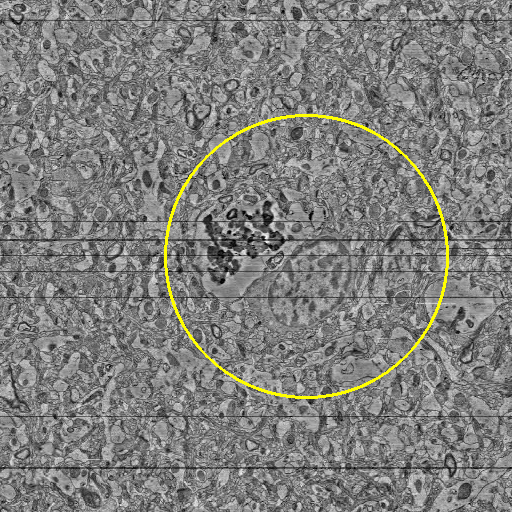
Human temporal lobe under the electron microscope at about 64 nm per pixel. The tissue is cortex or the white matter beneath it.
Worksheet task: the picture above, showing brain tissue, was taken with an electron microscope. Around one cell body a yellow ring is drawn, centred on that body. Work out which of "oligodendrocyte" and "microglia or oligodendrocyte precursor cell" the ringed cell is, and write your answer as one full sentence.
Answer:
It is an oligodendrocyte whose cell body lies at the centre of the yellow ring.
